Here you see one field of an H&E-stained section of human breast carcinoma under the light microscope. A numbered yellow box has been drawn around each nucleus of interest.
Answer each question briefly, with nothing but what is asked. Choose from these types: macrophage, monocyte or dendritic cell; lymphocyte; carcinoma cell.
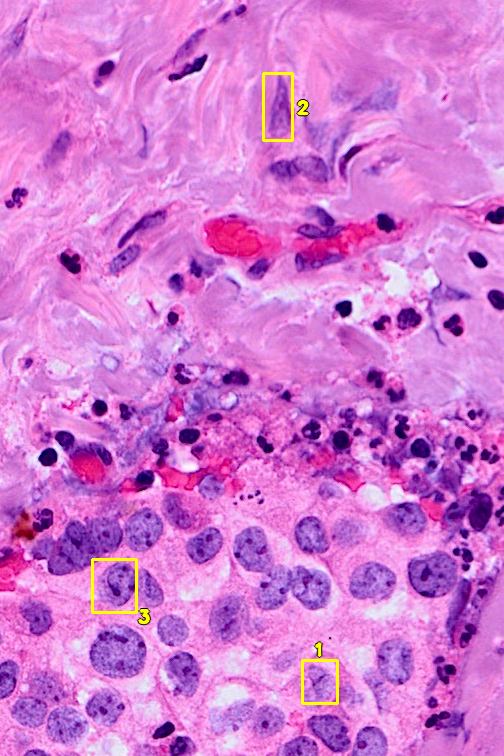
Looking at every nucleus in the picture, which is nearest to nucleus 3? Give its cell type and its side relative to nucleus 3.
a carcinoma cell, to the right of nucleus 3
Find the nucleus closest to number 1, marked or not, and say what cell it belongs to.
carcinoma cell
